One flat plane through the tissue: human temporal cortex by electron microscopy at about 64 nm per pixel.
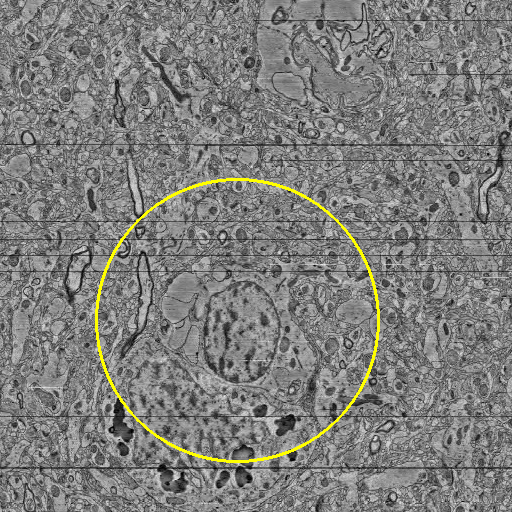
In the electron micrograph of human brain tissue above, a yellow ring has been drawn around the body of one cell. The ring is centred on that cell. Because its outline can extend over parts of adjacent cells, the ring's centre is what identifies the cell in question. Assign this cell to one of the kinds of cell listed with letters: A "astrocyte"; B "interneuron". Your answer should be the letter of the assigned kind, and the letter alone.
A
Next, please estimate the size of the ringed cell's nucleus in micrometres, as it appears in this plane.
Roughly 7 by 5 micrometres in this plane, for the nucleus of the ringed cell.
